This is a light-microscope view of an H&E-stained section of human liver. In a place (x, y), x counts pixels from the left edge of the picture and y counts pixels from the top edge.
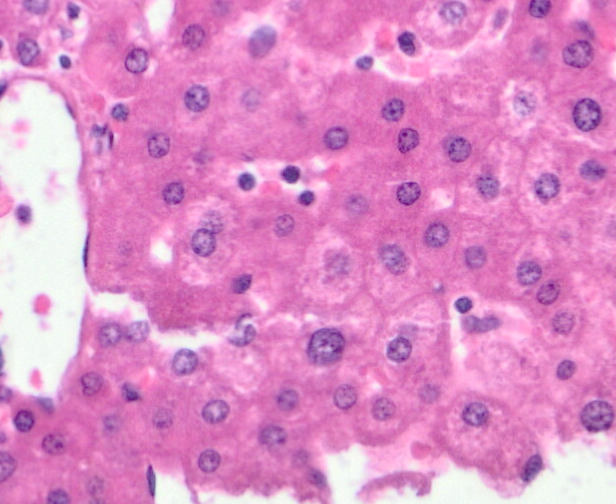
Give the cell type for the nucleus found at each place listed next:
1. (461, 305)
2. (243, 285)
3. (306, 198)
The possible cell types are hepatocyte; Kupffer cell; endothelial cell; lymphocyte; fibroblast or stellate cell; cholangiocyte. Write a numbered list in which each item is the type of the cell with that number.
1. lymphocyte
2. fibroblast or stellate cell
3. lymphocyte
